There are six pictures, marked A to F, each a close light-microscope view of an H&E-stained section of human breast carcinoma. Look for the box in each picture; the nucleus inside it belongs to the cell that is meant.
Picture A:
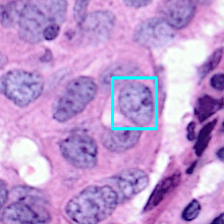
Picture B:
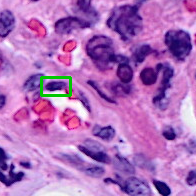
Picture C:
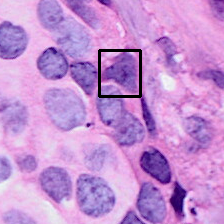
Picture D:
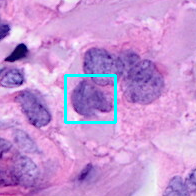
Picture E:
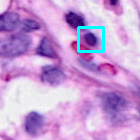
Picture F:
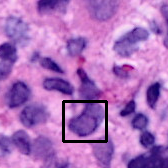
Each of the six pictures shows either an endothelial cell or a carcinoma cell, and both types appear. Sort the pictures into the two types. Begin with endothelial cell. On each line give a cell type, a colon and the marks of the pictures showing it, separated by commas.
endothelial cell: B, E
carcinoma cell: A, C, D, F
